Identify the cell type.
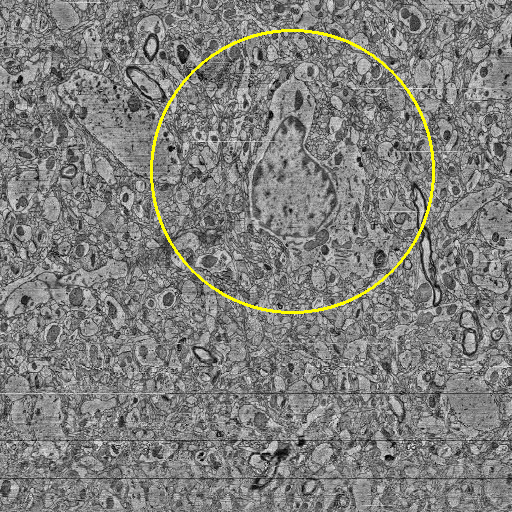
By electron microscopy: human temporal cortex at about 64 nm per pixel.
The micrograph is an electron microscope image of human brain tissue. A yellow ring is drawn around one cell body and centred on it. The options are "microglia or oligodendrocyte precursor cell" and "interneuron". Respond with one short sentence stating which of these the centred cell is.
The cell body in the ring belongs to a microglial cell or oligodendrocyte precursor cell.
